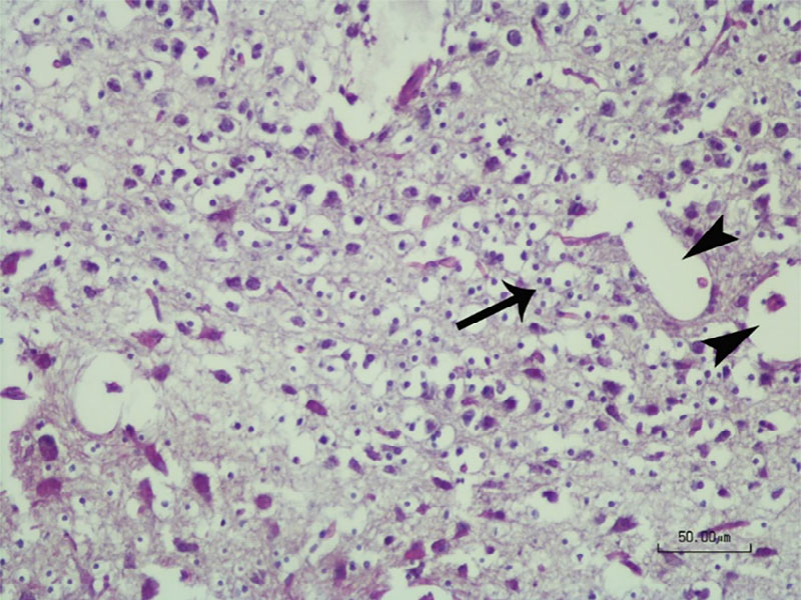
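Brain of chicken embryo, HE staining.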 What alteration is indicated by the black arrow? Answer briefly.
Gliosis.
